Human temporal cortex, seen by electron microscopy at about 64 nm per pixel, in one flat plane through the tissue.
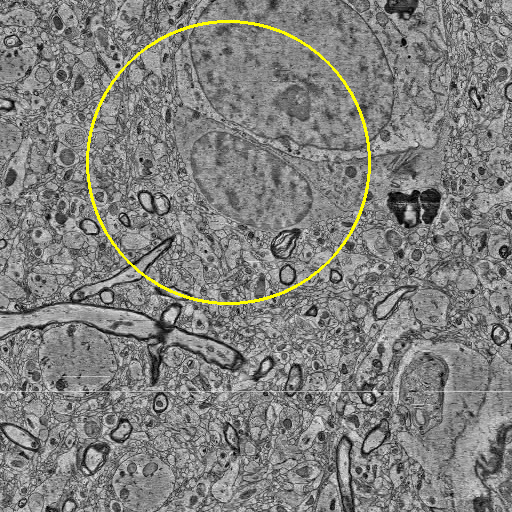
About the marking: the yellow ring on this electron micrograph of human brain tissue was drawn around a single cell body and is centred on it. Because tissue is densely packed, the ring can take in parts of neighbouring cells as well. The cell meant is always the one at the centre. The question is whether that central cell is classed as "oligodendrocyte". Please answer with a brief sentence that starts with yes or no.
Yes, the central cell is classed that way.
